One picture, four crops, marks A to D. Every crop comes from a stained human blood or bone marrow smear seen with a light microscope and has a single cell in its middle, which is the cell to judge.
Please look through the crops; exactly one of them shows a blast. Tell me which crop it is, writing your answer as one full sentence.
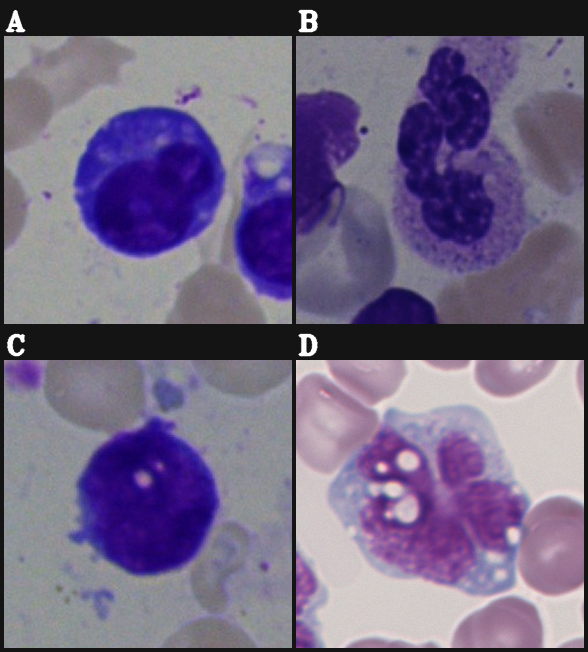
The crop marked C is the one in which a blast is shown.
